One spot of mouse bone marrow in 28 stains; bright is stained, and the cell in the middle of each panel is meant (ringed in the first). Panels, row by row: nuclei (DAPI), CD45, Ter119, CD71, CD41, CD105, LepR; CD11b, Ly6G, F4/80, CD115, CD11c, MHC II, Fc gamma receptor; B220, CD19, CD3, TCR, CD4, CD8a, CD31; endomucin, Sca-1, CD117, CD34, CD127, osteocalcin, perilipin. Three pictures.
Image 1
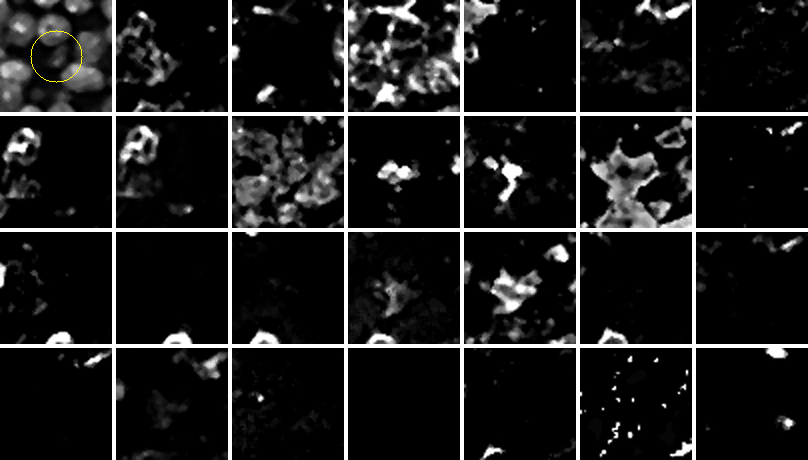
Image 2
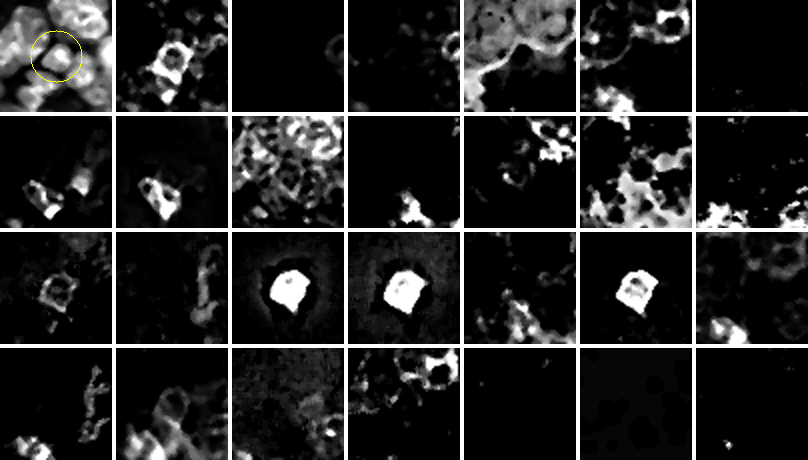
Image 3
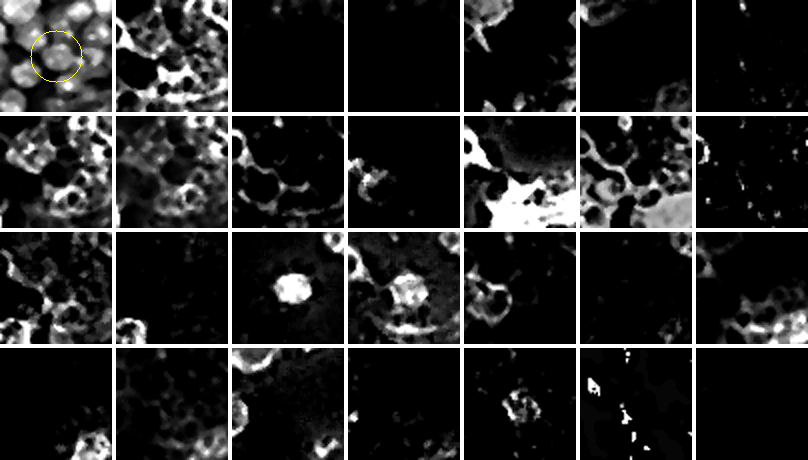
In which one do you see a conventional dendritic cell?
In picture 1.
